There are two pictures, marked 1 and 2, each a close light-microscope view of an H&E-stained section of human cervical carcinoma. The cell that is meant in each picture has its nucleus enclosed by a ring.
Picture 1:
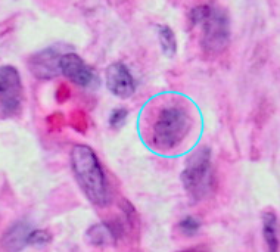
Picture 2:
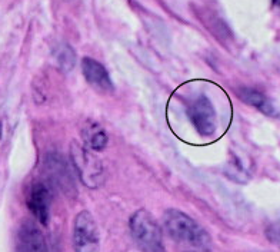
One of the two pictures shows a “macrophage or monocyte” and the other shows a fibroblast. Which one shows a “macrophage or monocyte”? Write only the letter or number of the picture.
1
